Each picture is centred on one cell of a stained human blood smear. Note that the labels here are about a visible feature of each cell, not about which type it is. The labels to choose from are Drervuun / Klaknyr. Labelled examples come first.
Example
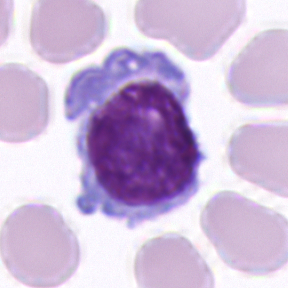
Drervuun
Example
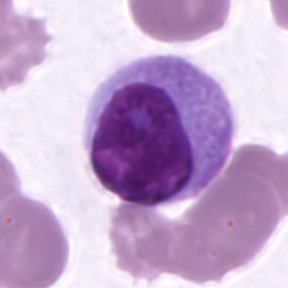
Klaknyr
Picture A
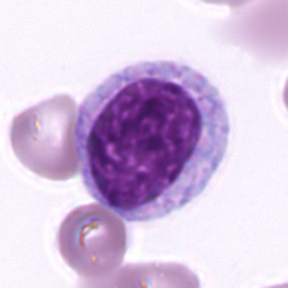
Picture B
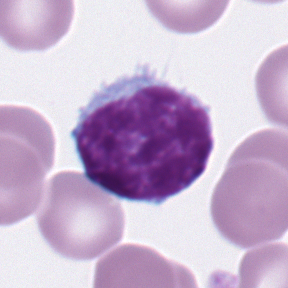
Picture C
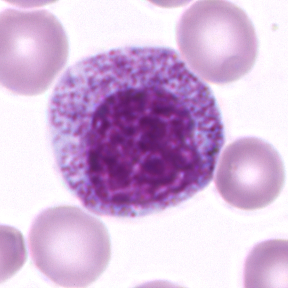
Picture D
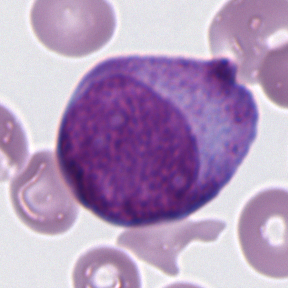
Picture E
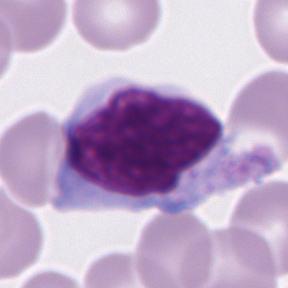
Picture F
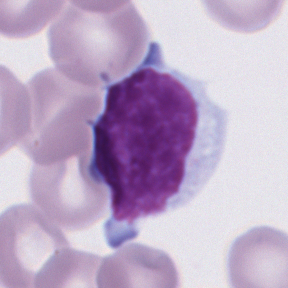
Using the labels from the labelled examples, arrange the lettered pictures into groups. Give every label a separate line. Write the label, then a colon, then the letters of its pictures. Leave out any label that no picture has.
Drervuun: B, D, E, F
Klaknyr: A, C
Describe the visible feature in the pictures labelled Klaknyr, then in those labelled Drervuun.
In Klaknyr: smooth outline. In Drervuun: ragged outline or projections.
